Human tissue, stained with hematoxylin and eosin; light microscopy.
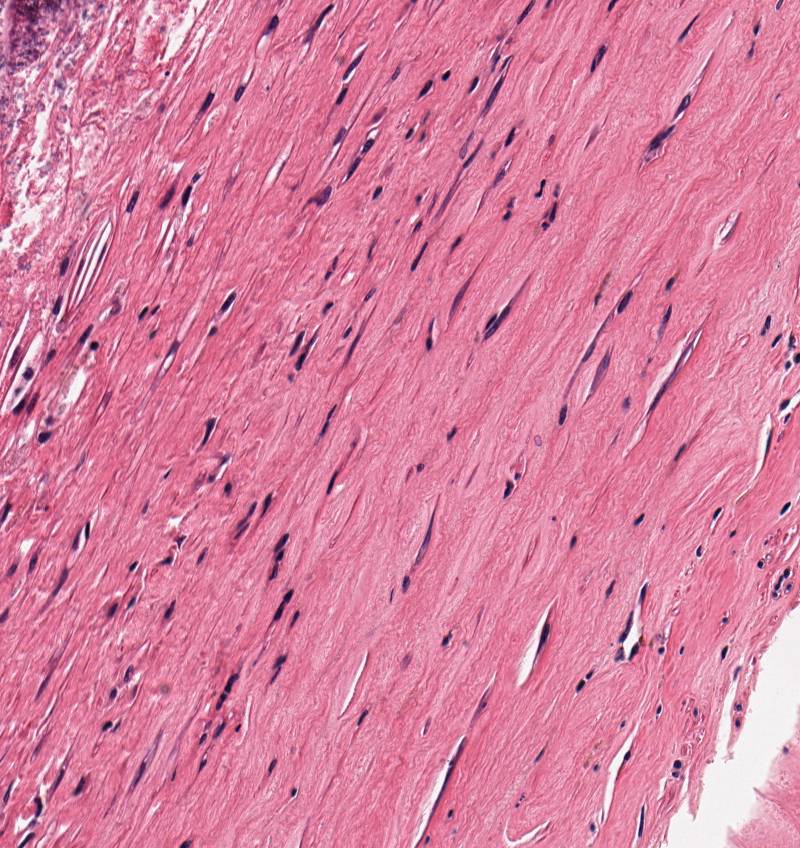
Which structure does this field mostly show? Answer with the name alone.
tunica media of an artery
